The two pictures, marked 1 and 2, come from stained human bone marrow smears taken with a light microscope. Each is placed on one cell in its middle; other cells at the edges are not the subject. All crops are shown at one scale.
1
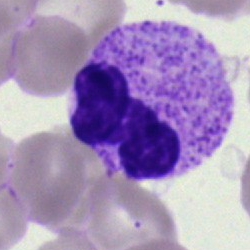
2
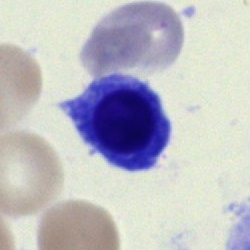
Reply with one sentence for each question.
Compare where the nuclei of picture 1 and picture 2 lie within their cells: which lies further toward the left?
It is the nucleus in picture 1 that lies further toward the left of its cell.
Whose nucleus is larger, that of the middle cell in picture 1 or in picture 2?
Larger is the nucleus in picture 1, at roughly 2.5 times the area of the other.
